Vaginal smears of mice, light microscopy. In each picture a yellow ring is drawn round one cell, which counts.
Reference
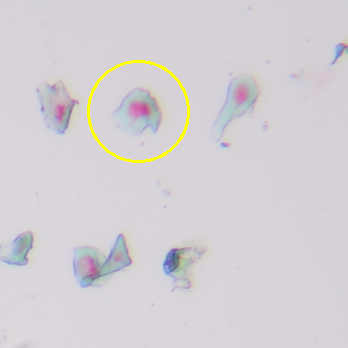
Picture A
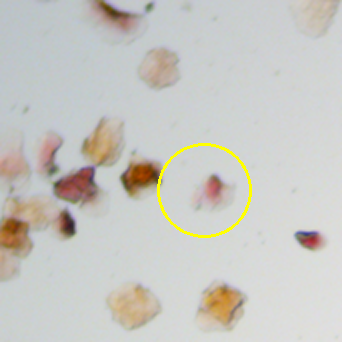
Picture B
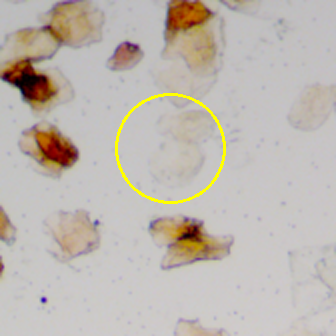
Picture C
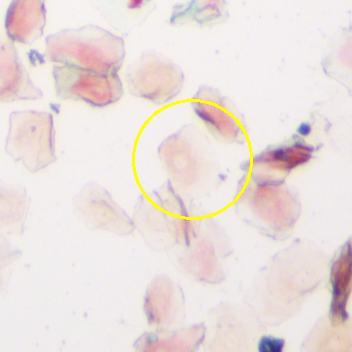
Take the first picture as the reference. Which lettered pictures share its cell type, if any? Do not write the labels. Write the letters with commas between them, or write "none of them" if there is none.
A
